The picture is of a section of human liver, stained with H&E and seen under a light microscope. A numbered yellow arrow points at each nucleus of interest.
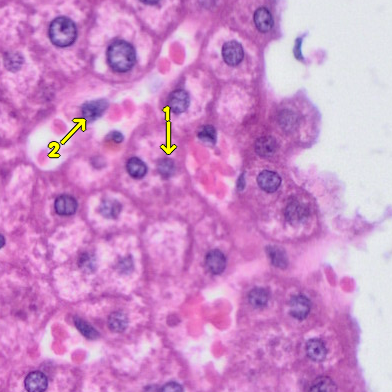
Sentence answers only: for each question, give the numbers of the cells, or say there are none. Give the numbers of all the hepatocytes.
Cell number 1 alone is a hepatocyte; the rest are not.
